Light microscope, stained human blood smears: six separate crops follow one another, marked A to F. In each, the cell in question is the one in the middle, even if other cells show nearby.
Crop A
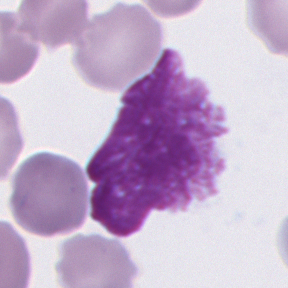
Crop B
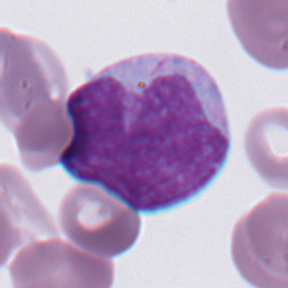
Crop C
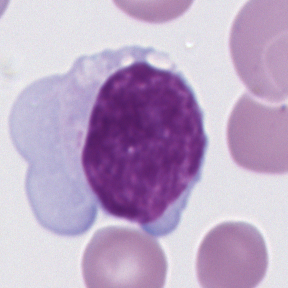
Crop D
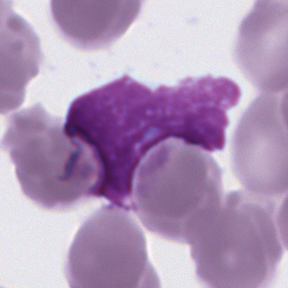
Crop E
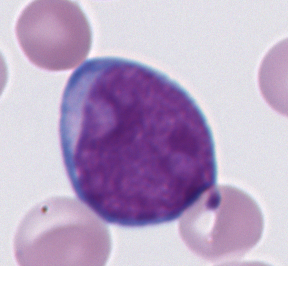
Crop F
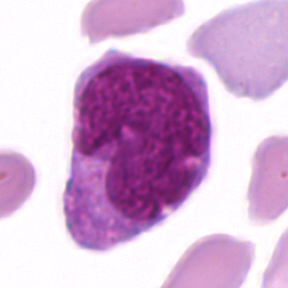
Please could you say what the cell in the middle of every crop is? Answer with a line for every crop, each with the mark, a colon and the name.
A: smudge cell
B: atypical promyelocyte
C: myeloblast
D: smudge cell
E: myeloblast
F: atypical promyelocyte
